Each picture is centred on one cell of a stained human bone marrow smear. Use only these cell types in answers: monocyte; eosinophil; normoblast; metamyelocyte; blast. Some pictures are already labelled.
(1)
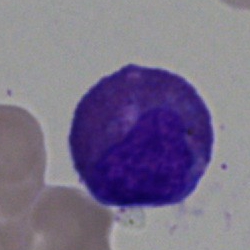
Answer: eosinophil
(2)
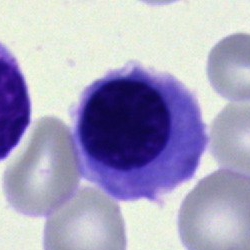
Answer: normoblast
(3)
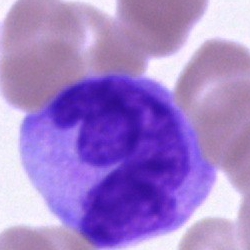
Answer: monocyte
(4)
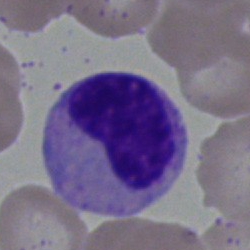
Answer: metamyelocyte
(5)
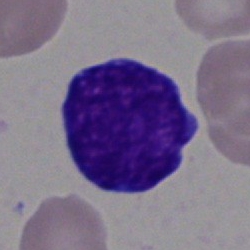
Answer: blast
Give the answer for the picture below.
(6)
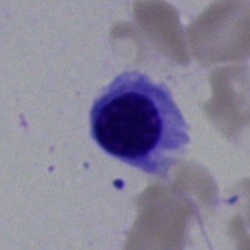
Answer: normoblast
